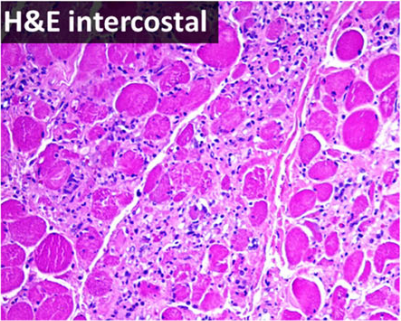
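This is skeletal muscle cut across, with an inflammatory infiltrate among the fibers. The muscle fibers are the rounded and polygonal pink profiles; they vary greatly in size, some large and full, others small and shrunken. Between them lie many small, dark, round nuclei of mononuclear cells, crowding the spaces and surrounding some fibers closely. A pale band of looser tissue runs diagonally across the field, dividing groups of fibers. The normal picture of evenly sized fibers packed tightly side by side is lost here, replaced by scattered fibers sitting in a cellular background.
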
